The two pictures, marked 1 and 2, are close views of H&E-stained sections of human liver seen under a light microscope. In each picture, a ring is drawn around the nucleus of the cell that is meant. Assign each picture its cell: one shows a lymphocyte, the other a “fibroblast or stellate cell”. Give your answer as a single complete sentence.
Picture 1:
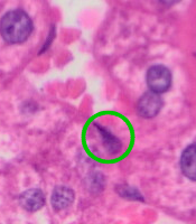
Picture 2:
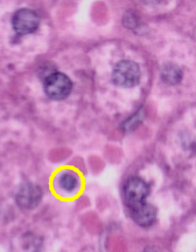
Picture 1 is of a “fibroblast or stellate cell”, and picture 2 is of a lymphocyte.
